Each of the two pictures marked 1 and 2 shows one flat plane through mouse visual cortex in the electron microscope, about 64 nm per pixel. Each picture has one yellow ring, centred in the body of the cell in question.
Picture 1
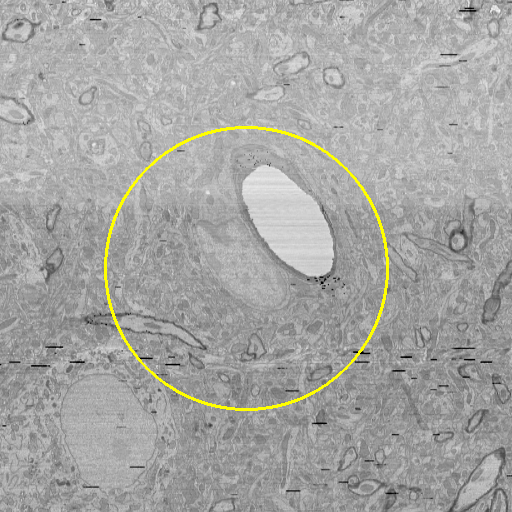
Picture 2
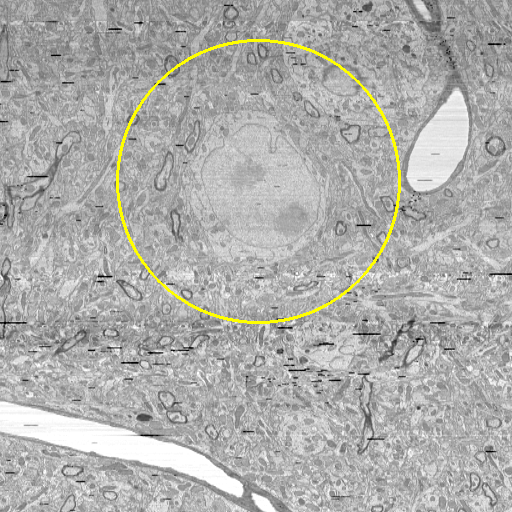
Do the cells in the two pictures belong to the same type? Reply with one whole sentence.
No. Picture 1 shows an oligodendrocyte, but picture 2 shows an excitatory neuron.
